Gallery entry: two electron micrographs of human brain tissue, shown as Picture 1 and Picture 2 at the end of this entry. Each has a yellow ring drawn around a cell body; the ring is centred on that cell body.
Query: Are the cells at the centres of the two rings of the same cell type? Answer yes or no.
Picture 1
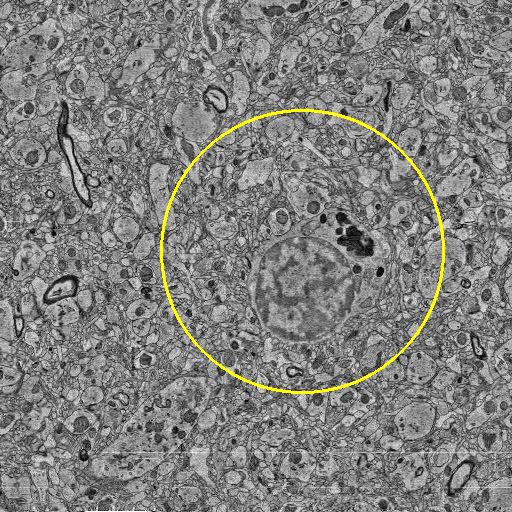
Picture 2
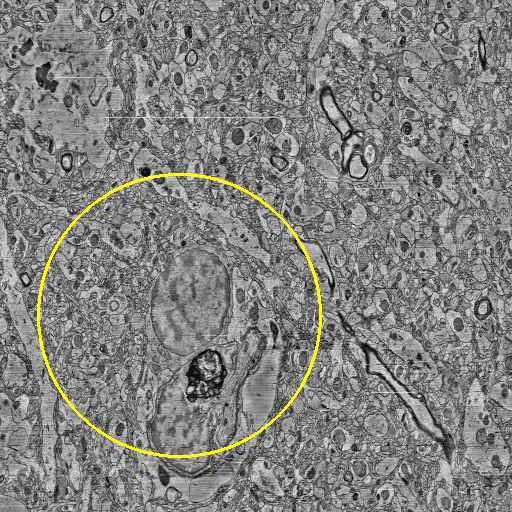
yes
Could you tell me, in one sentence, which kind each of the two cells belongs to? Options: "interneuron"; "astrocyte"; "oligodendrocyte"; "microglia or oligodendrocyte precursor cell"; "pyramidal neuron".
Both the first and the second picture show an oligodendrocyte in the ring.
